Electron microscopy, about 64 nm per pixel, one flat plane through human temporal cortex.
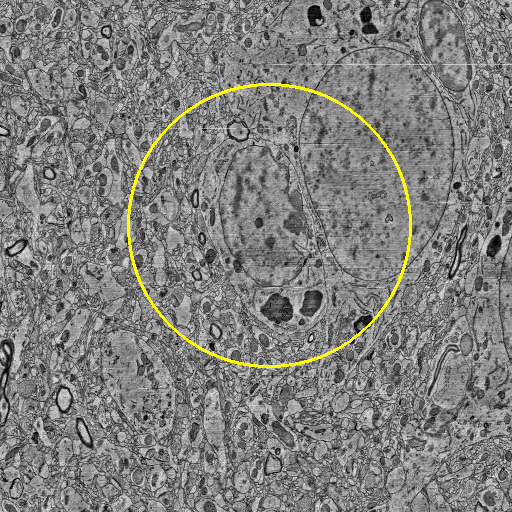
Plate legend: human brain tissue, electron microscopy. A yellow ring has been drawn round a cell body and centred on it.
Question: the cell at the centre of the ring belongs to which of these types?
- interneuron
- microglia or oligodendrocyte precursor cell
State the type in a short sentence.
The cell in the middle of the ring is an interneuron.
